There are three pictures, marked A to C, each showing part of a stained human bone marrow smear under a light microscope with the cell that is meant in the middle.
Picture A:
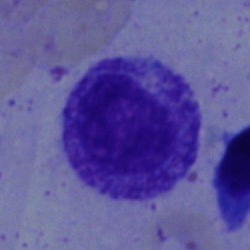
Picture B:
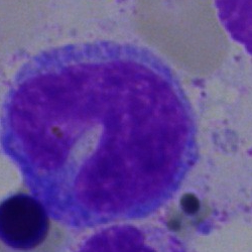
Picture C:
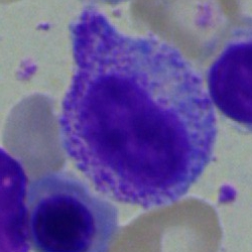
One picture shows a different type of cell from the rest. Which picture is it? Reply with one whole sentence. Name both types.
The different one is picture B; it shows a monocyte, whereas all the others show myelocytes.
